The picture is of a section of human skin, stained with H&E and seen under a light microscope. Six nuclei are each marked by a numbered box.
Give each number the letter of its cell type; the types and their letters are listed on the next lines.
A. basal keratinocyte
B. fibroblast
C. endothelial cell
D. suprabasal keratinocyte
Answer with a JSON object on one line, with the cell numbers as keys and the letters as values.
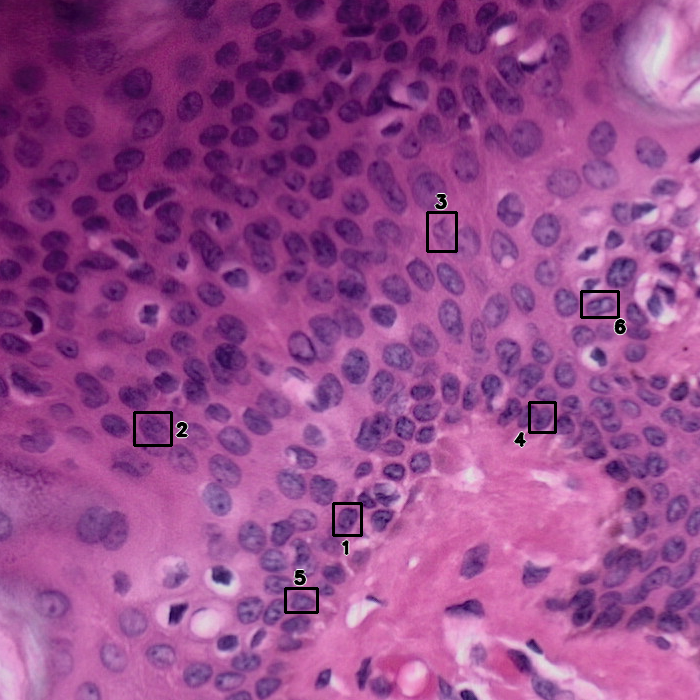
{"1": "A", "2": "D", "3": "D", "4": "A", "5": "A", "6": "D"}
